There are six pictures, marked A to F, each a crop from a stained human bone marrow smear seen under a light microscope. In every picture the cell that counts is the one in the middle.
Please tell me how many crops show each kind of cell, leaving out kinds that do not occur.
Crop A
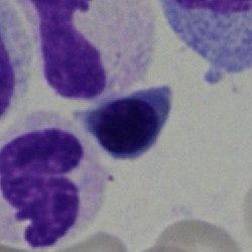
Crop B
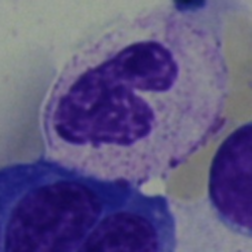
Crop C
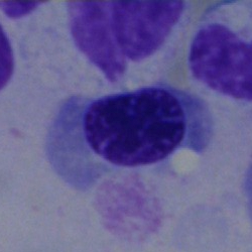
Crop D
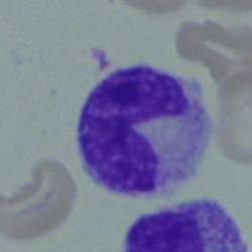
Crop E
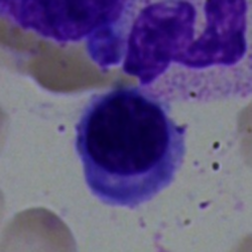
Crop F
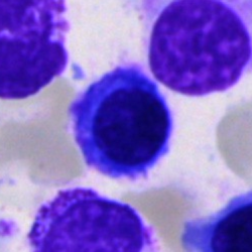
erythroblast: 4
band neutrophil: 2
